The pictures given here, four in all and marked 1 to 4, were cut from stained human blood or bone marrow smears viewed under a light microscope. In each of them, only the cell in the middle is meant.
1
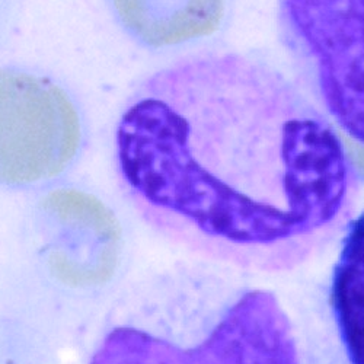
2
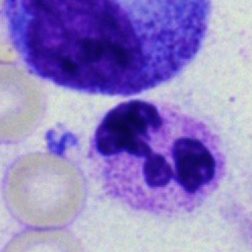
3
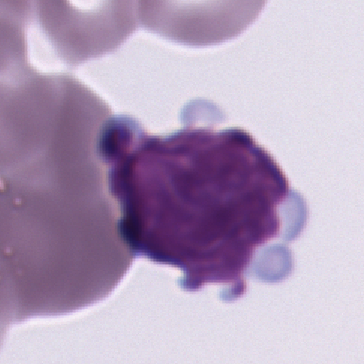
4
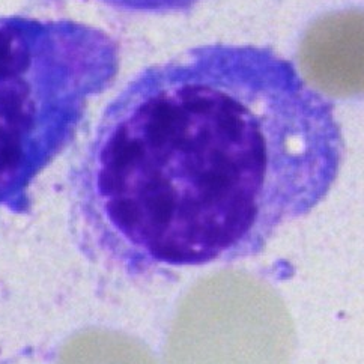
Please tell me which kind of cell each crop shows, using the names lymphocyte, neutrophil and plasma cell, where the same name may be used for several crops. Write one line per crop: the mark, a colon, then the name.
1: neutrophil
2: neutrophil
3: lymphocyte
4: plasma cell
